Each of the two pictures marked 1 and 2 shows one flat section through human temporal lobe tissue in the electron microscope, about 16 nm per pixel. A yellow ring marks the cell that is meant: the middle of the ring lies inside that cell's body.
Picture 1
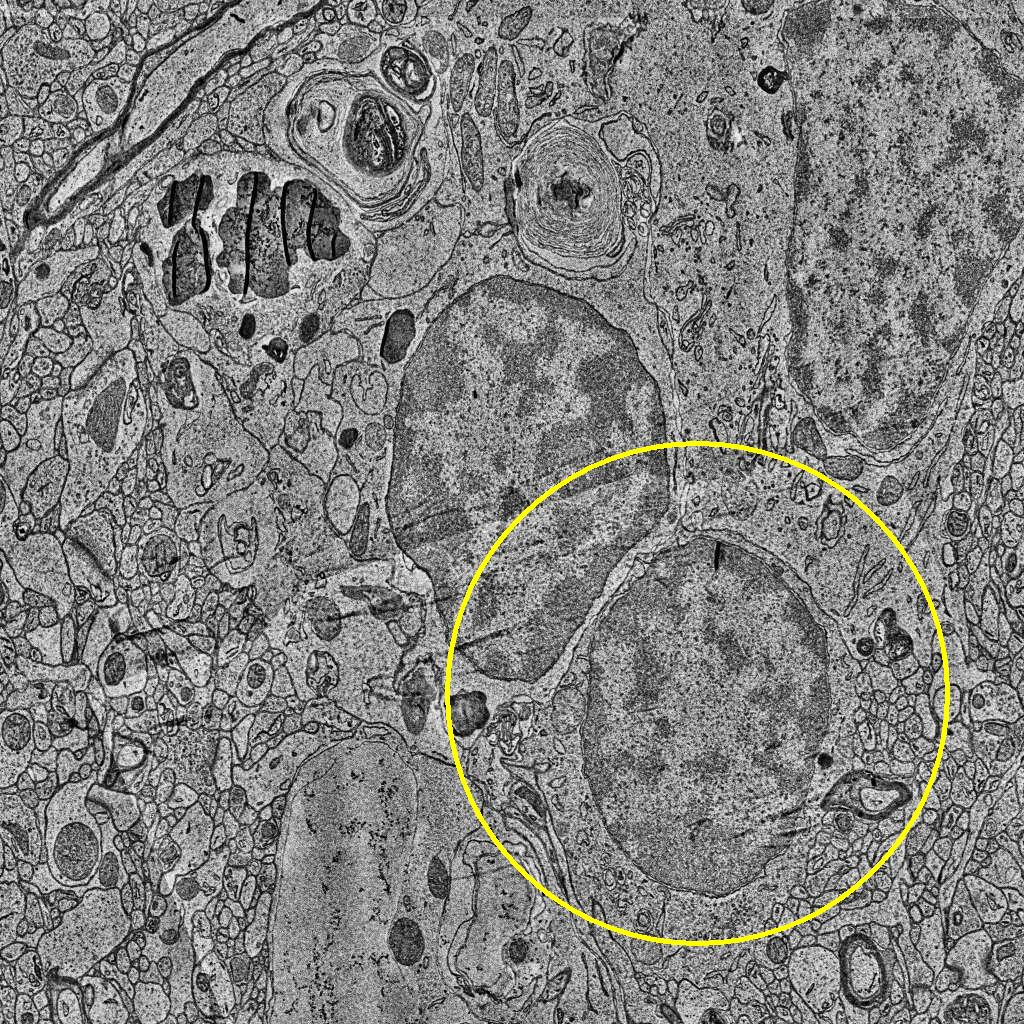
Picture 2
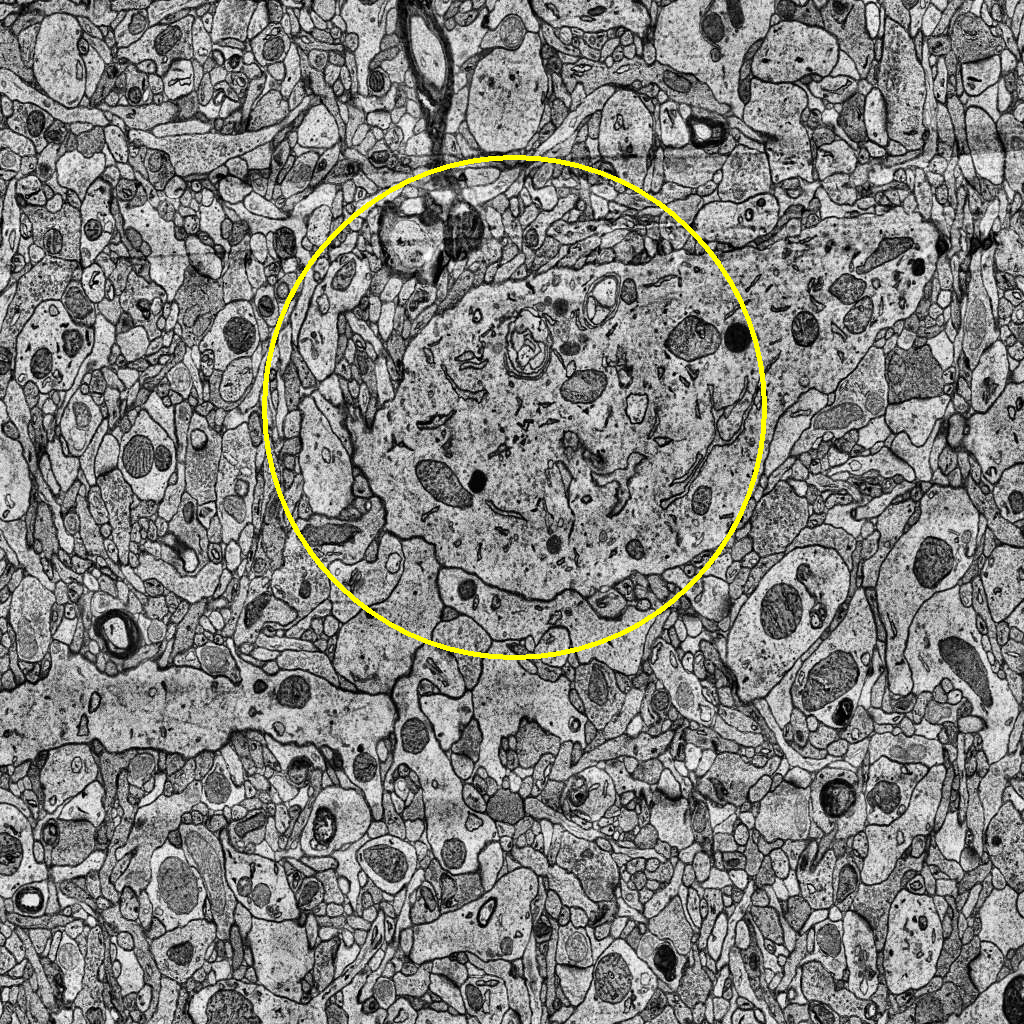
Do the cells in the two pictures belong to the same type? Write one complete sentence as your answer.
No. Picture 1 shows an oligodendrocyte, but picture 2 shows an interneuron.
